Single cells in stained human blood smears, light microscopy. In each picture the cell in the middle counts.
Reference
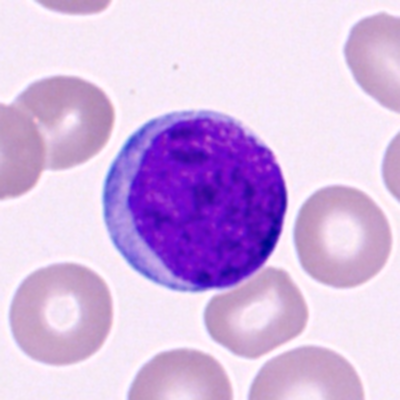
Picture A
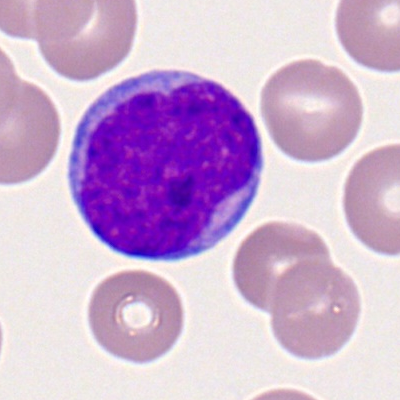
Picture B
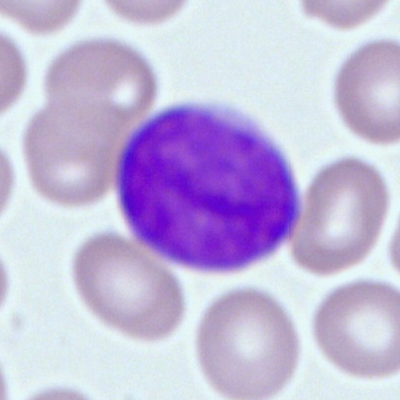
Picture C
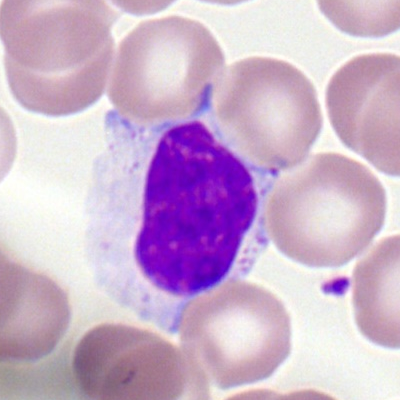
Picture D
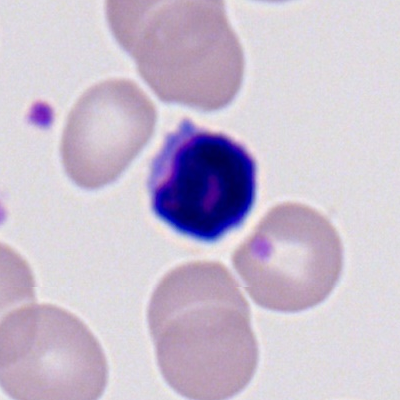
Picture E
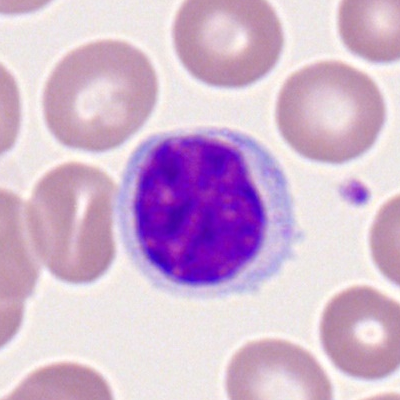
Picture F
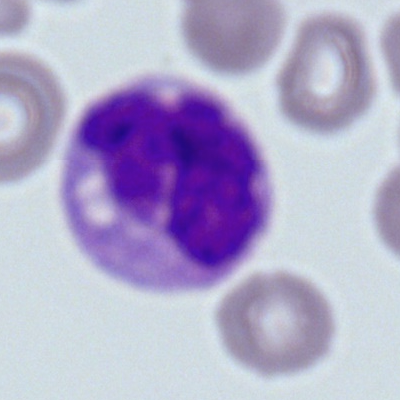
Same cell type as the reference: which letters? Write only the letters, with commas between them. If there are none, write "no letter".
A, B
